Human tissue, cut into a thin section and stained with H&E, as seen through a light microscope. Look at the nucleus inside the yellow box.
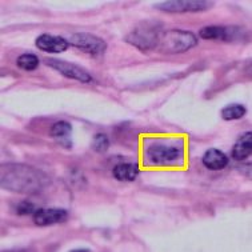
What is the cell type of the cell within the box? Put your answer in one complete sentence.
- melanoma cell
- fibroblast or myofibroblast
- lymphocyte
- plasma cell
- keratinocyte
Just put down that the cell within the box is a plasma cell.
